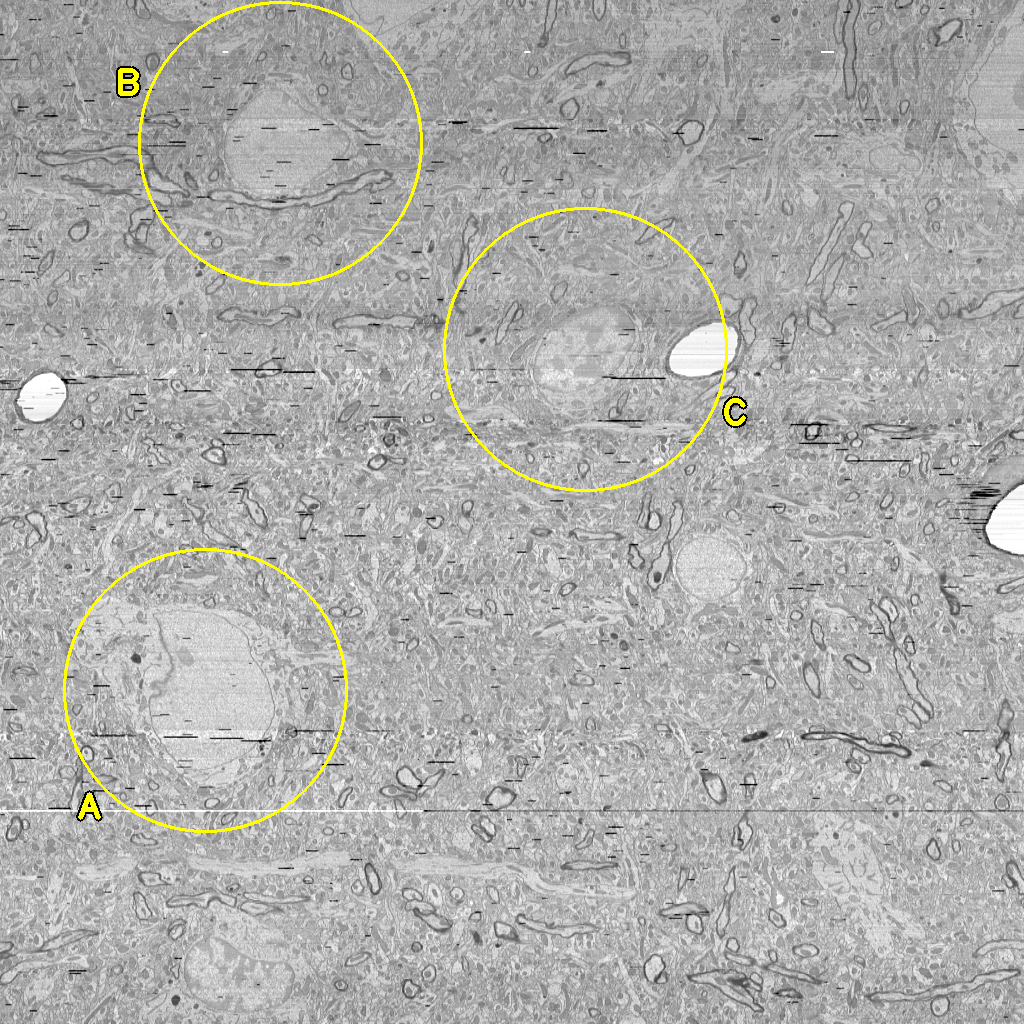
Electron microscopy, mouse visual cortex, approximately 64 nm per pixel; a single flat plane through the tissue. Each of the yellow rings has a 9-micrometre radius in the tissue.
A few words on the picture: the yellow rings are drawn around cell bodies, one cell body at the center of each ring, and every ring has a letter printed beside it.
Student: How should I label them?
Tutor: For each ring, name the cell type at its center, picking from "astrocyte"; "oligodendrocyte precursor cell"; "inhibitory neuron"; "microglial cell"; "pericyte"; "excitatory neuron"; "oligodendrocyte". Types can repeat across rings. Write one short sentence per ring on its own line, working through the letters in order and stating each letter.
In ring A, the central cell is an excitatory neuron.
In ring B, the central cell is an astrocyte.
In ring C, the central cell is an oligodendrocyte.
